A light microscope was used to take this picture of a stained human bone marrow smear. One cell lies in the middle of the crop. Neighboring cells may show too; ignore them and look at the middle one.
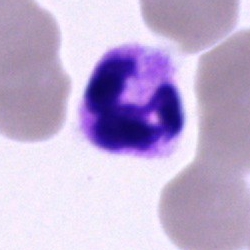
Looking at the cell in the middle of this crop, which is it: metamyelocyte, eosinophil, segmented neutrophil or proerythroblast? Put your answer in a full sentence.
Whatever else lies nearby, the middle cell is a segmented neutrophil.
